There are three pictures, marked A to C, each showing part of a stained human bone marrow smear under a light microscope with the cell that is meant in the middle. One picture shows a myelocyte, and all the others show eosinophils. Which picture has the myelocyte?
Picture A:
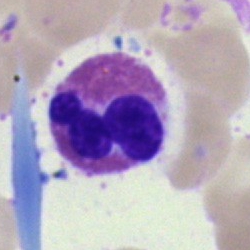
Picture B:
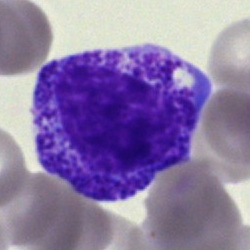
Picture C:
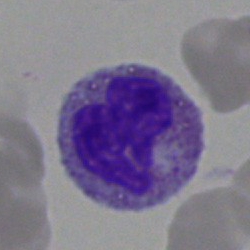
B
